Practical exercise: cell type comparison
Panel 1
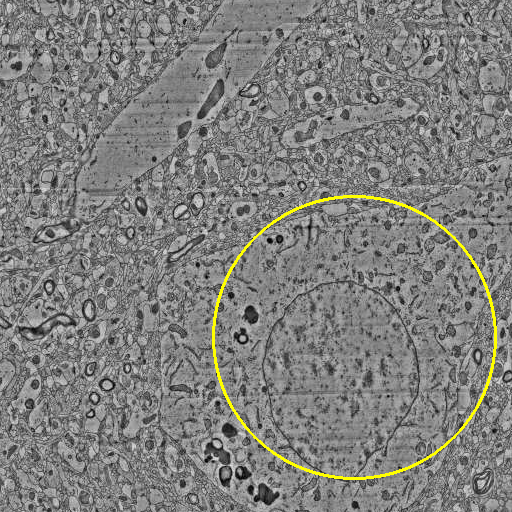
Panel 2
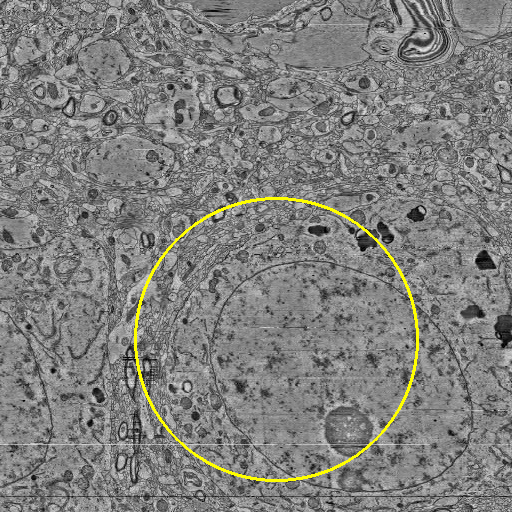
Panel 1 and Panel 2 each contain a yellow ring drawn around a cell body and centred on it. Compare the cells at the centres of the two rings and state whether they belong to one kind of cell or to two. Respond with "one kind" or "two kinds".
one kind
